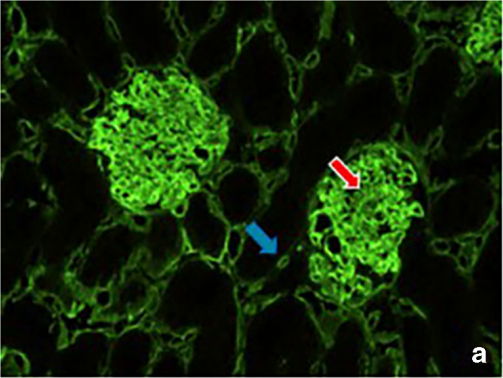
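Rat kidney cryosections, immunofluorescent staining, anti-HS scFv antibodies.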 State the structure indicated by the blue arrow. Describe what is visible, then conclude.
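The arrow points to a small bright green ring lying between dark tubule profiles. Thin green lines outline the spaces between the tubules. That points to this answer: peritubular capillaries.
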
